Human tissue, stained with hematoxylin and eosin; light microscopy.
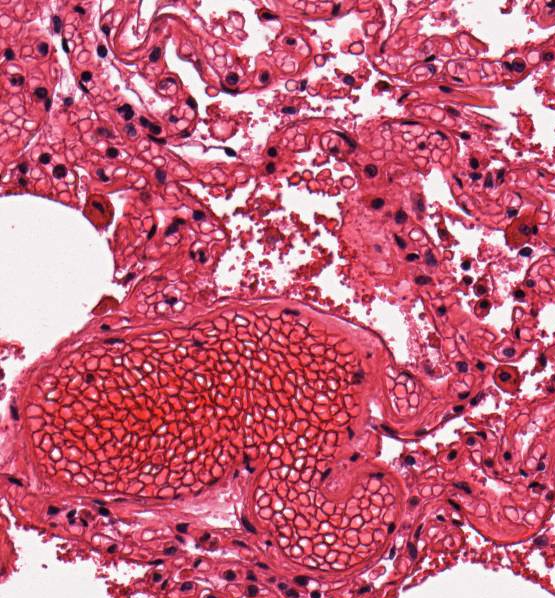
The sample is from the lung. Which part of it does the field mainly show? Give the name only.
alveolus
